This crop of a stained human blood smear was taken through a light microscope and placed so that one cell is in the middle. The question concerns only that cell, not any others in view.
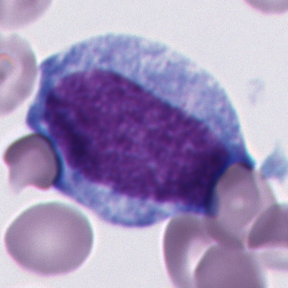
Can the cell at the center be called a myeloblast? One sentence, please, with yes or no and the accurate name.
No, the central cell is classed as a promyelocyte, not a myeloblast.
